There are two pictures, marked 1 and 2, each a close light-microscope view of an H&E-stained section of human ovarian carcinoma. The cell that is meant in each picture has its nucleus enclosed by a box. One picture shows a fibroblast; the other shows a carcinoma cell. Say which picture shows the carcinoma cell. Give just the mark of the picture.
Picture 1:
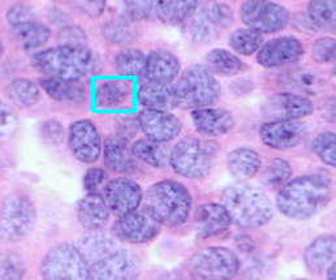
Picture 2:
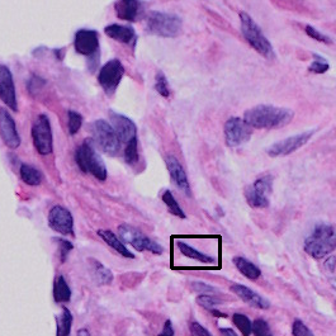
1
